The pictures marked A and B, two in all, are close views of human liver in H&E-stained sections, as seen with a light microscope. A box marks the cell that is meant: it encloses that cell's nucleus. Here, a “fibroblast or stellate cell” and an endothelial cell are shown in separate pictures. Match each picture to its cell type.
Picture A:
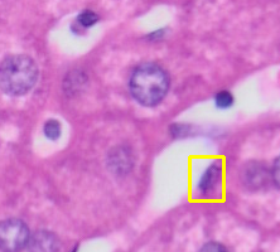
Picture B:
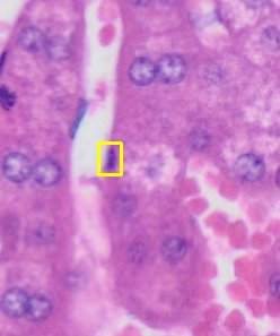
A: endothelial cell
B: fibroblast or stellate cell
